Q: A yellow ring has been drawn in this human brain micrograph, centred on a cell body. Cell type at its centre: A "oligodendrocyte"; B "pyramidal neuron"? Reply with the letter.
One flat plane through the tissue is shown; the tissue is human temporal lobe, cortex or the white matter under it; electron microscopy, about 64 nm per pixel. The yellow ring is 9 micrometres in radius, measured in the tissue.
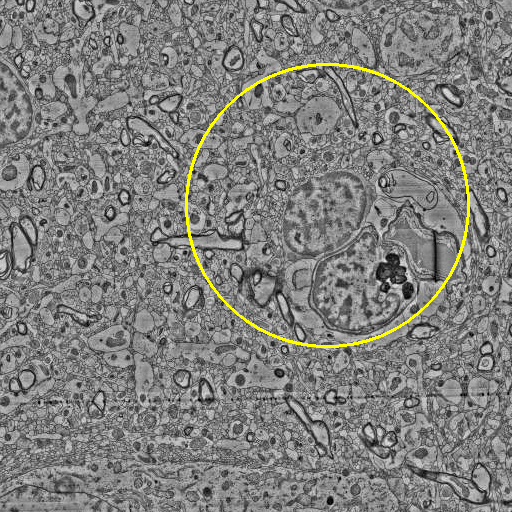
A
